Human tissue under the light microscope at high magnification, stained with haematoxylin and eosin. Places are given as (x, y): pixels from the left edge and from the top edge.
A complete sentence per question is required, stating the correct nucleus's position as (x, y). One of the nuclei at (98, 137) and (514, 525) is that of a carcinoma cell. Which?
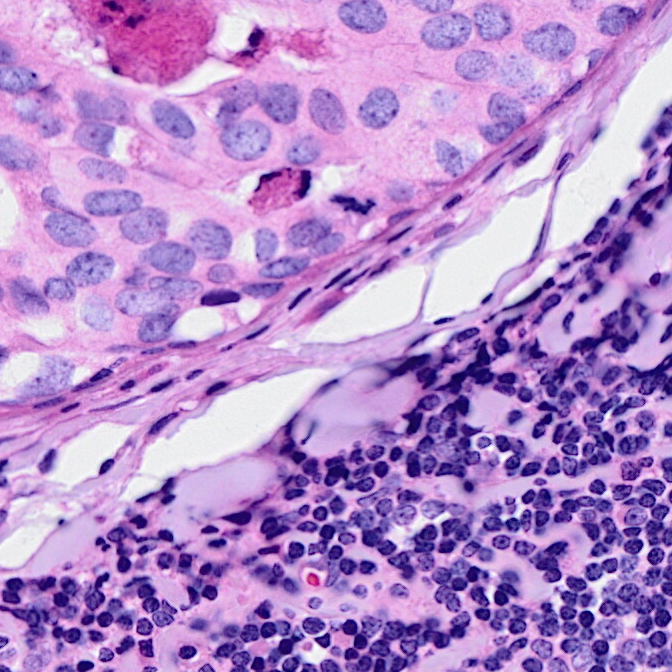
As for which of the two, the nucleus at (98, 137) belongs to a carcinoma cell.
